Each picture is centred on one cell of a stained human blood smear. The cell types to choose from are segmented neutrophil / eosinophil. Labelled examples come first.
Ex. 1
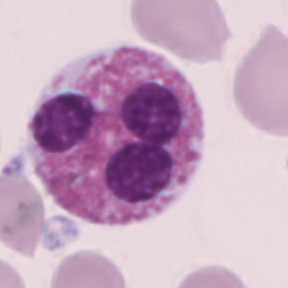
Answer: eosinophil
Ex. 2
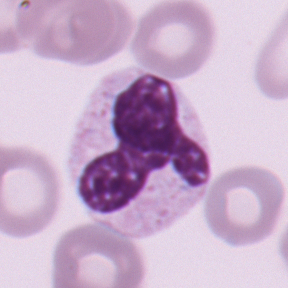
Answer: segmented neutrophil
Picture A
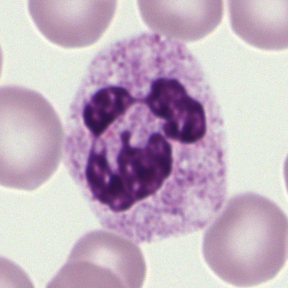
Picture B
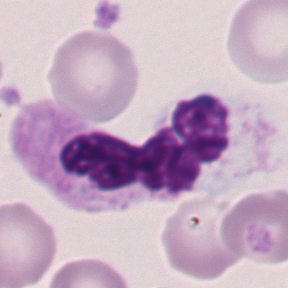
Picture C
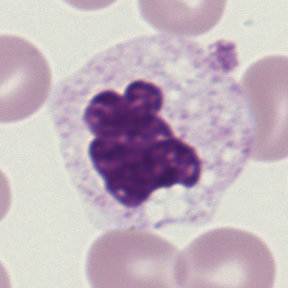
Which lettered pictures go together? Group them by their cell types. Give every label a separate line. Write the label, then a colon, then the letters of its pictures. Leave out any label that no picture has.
segmented neutrophil: A, B, C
